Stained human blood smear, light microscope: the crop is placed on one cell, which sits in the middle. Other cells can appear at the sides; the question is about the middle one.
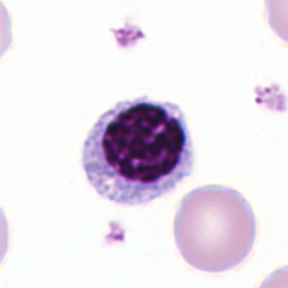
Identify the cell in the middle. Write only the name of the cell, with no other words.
normoblast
